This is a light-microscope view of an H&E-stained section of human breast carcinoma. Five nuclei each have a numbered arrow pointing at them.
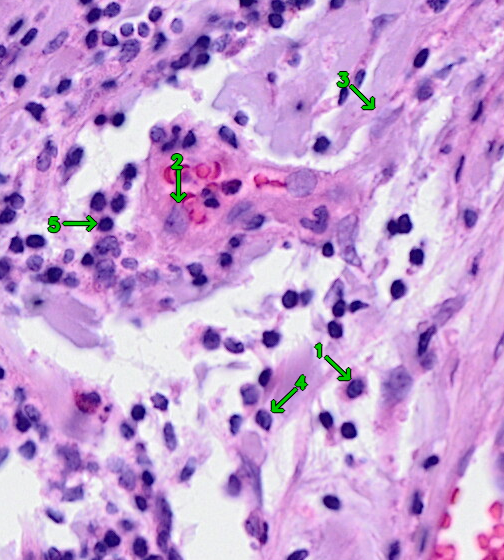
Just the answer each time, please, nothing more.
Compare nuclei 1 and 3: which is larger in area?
3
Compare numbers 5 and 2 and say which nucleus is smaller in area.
5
